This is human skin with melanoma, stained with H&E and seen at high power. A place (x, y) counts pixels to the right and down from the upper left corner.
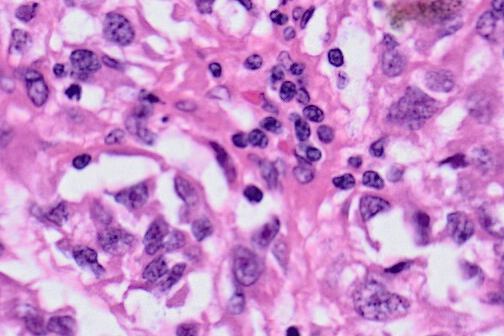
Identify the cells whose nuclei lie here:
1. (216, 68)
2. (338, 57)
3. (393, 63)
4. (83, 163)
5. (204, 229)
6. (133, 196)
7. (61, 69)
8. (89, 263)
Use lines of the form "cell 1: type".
cell 1: lymphocyte
cell 2: lymphocyte
cell 3: melanoma cell
cell 4: lymphocyte
cell 5: melanoma cell
cell 6: melanoma cell
cell 7: lymphocyte
cell 8: melanoma cell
